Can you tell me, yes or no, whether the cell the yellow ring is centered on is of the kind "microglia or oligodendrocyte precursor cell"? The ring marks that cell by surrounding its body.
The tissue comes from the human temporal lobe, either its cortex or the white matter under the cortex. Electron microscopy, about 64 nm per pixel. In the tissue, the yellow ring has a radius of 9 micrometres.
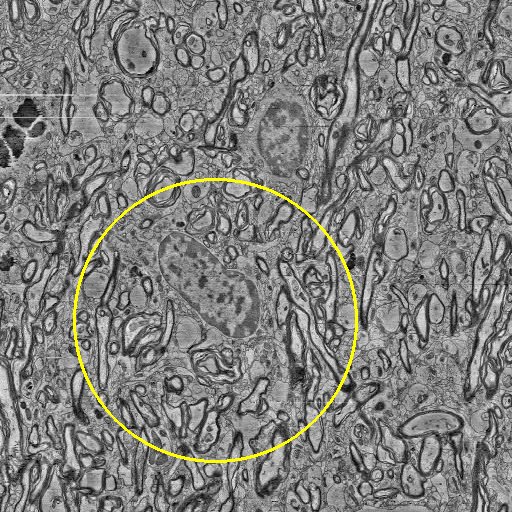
yes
